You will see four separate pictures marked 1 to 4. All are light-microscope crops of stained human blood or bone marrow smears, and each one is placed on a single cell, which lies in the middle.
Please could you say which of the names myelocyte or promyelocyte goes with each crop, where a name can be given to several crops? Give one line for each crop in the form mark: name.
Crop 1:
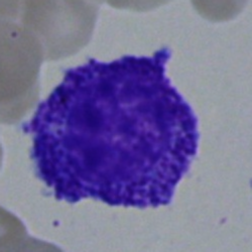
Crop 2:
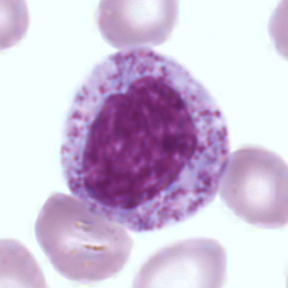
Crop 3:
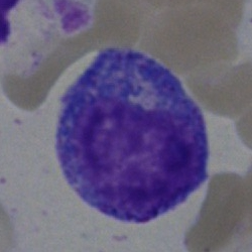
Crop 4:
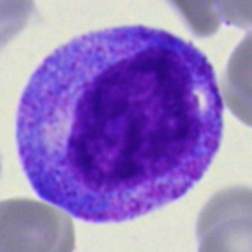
1: promyelocyte
2: myelocyte
3: promyelocyte
4: promyelocyte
